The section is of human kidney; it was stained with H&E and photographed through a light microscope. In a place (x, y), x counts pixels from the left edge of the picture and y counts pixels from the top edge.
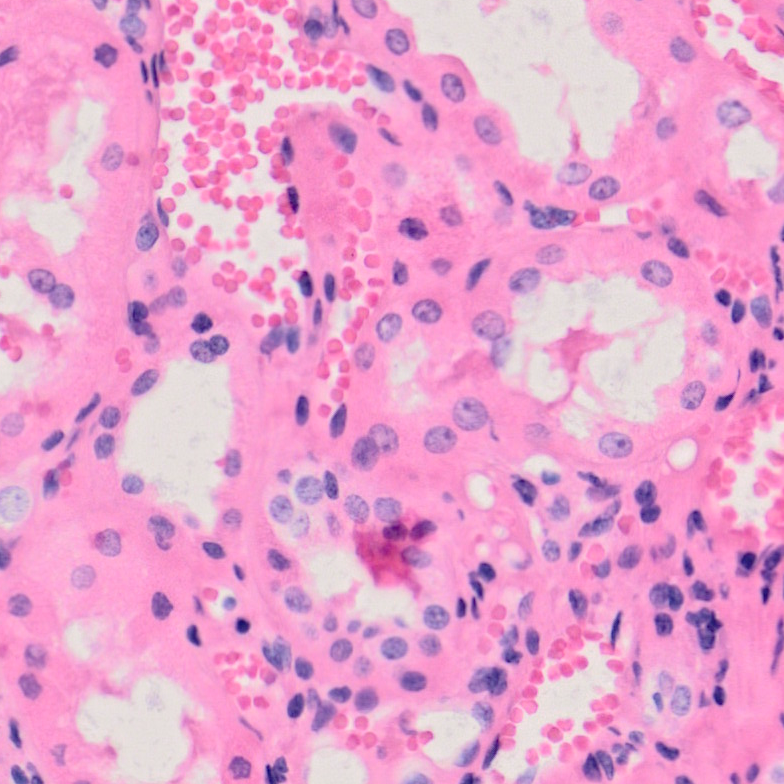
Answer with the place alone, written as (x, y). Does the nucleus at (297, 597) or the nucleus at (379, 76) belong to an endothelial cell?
(379, 76)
